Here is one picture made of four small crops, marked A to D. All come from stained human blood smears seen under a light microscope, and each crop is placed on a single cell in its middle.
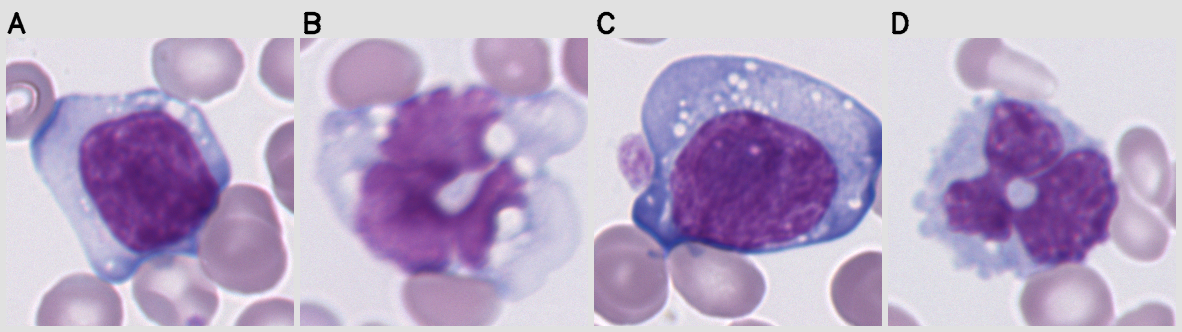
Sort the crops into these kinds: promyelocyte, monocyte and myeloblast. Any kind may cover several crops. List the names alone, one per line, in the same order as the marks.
myeloblast
monocyte
myeloblast
monocyte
